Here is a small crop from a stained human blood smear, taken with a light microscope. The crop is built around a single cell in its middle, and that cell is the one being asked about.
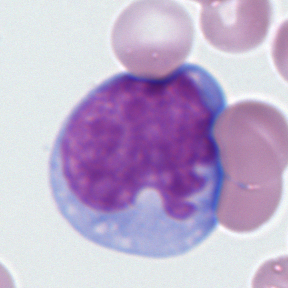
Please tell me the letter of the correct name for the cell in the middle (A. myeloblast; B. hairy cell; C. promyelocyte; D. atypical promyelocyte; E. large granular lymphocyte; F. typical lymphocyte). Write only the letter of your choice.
A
